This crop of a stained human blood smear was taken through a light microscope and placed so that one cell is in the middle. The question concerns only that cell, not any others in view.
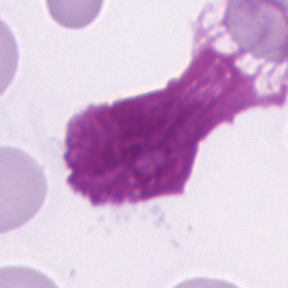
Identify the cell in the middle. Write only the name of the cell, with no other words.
smudge cell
